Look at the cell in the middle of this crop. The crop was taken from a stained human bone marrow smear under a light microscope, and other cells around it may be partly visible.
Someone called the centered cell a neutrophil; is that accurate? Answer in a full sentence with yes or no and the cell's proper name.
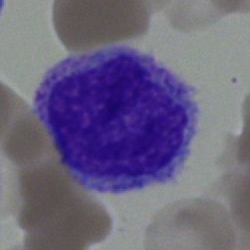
No, the cell positioned in the middle is a monocyte, not a neutrophil.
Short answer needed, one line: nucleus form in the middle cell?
One compact mass makes up the whole nucleus, round, oval or kidney-shaped.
